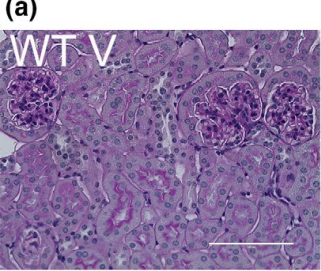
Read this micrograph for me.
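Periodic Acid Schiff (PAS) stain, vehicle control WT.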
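This is kidney cortex with several glomeruli lying among closely packed tubules. The glomeruli are round tufts crowded with dark purple nuclei, with magenta-stained material between the capillary loops, and each is surrounded by a narrow clear Bowman's space and a thin capsule. The surrounding tubules are cut in cross-section and lined by cuboidal cells with pink-magenta cytoplasm and round, pale-blue to purple nuclei. Some tubule lumens show a brighter magenta lining at the cell surface. The architecture looks orderly, without obvious scarring or expanded glomeruli.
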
